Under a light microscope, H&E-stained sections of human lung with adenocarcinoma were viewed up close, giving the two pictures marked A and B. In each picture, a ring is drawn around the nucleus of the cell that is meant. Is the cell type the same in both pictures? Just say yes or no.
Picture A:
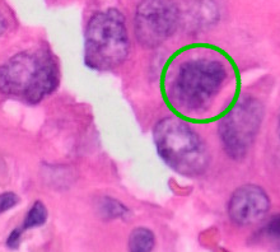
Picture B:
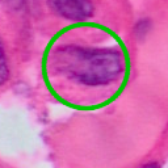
yes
